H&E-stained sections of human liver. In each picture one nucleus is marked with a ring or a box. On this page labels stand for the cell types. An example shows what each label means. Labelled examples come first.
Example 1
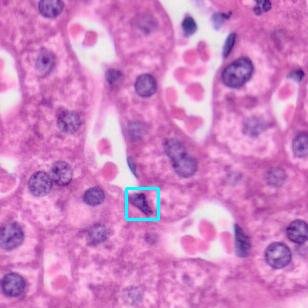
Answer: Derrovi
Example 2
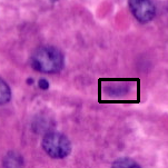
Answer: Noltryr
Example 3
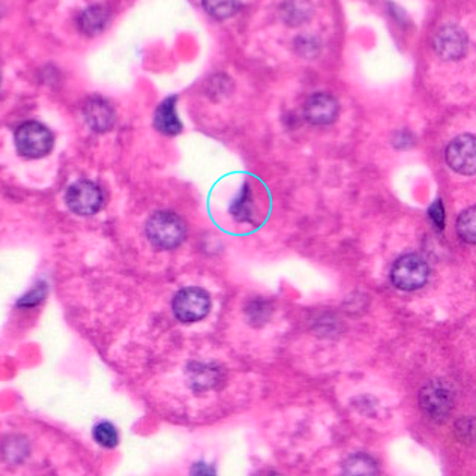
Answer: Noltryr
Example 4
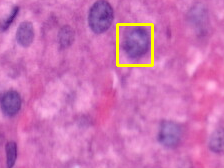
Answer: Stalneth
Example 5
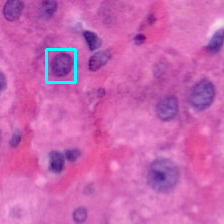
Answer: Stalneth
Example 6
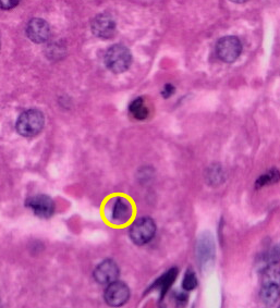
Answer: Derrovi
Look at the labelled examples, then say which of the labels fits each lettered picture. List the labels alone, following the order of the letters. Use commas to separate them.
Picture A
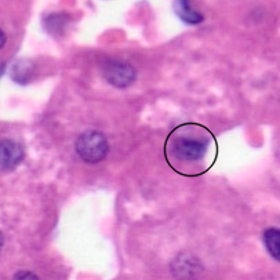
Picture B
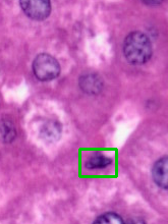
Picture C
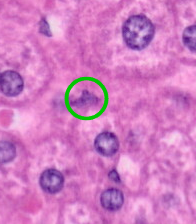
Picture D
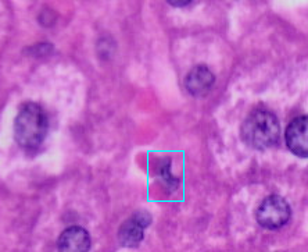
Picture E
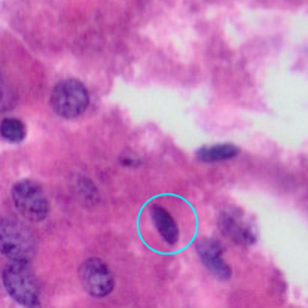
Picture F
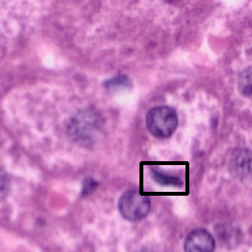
Derrovi, Derrovi, Noltryr, Noltryr, Derrovi, Noltryr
